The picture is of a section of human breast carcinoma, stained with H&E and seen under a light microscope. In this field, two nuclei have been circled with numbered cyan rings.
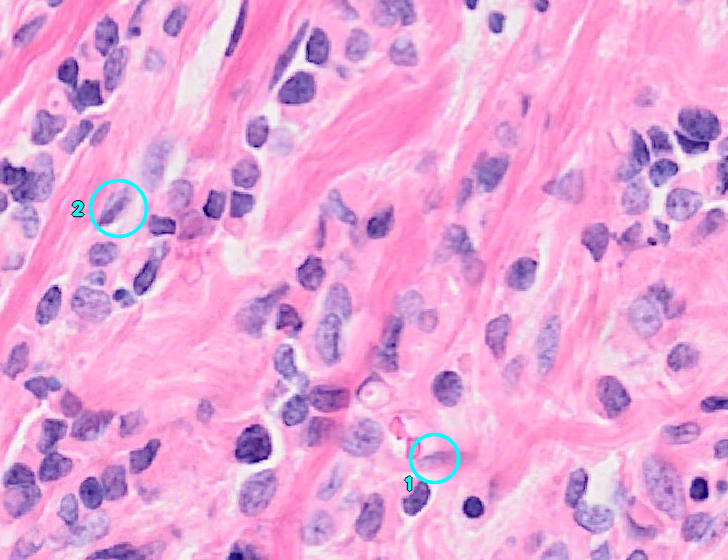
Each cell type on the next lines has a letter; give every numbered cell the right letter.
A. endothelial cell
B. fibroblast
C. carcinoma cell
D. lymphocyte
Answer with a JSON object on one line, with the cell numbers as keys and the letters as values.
{"1": "A", "2": "B"}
